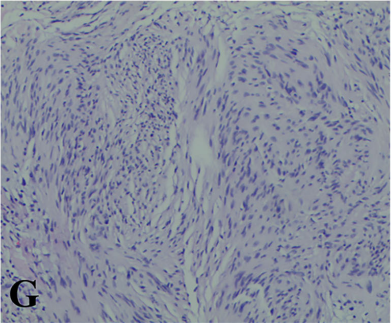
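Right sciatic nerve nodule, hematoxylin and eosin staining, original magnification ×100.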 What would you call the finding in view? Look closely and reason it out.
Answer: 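Schwannoma. Cellular spindle-cell tissue forming fascicles and whorls. Wavy, bland nuclei without marked atypia.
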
